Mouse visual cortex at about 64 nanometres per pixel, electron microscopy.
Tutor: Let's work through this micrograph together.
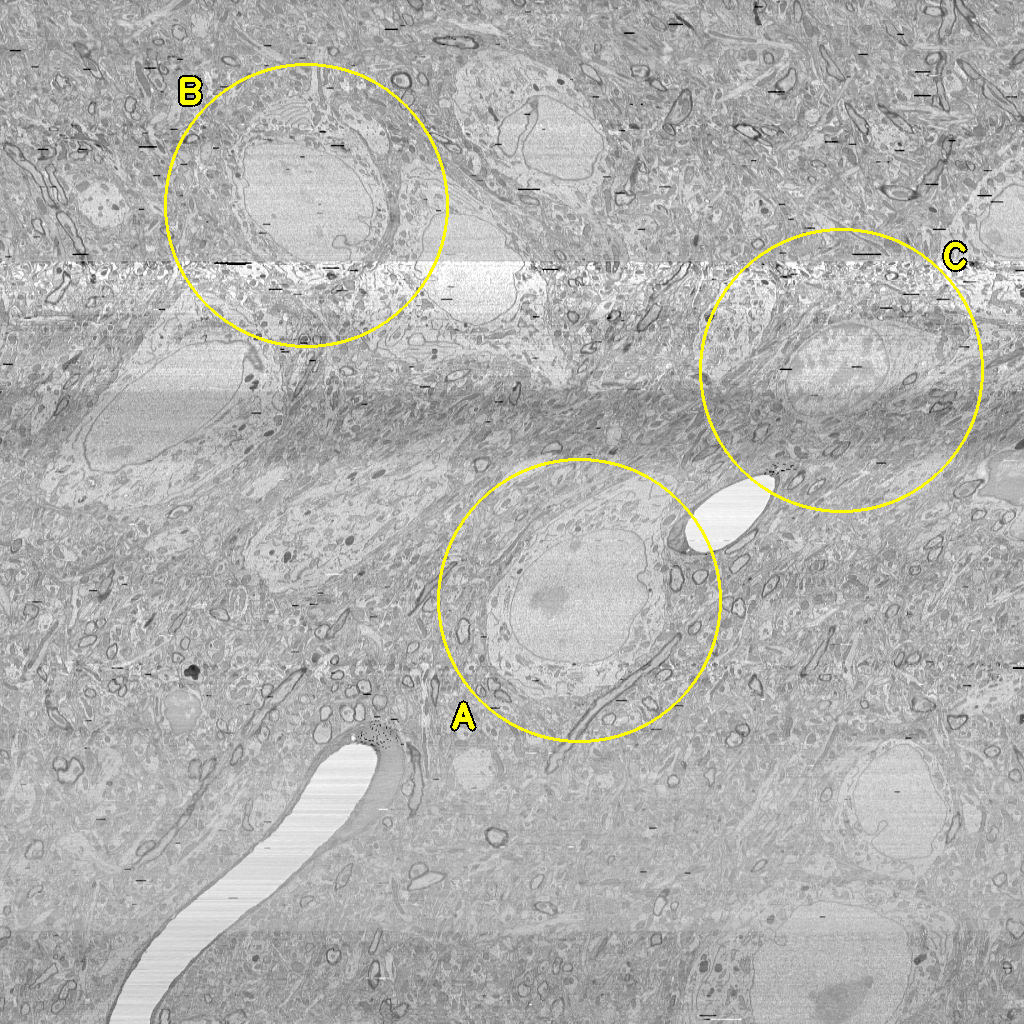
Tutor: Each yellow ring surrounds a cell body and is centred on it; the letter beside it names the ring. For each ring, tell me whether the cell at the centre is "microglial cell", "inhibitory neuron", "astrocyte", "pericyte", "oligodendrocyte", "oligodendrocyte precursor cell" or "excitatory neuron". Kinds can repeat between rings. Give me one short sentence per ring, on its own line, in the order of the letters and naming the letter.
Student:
The ring labelled A is centred on an excitatory neuron.
The ring labelled B is centred on an inhibitory neuron.
The ring labelled C is centred on an oligodendrocyte.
